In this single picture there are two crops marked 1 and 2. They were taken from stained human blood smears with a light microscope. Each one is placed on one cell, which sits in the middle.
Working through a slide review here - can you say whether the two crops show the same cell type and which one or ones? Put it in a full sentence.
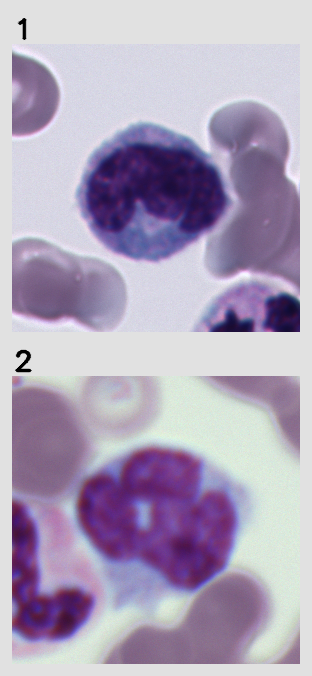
Yes, the first and the second crop both show monocytes.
